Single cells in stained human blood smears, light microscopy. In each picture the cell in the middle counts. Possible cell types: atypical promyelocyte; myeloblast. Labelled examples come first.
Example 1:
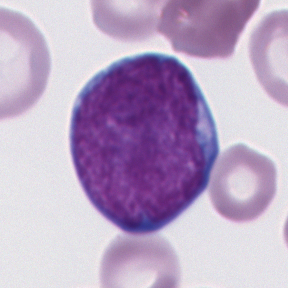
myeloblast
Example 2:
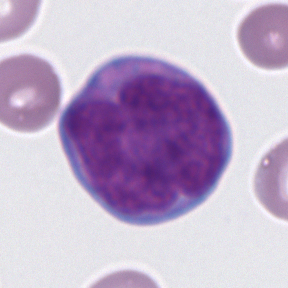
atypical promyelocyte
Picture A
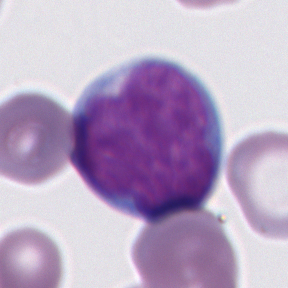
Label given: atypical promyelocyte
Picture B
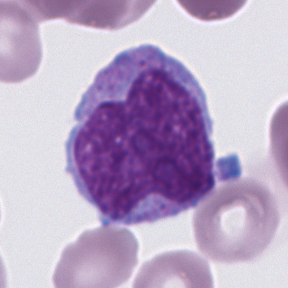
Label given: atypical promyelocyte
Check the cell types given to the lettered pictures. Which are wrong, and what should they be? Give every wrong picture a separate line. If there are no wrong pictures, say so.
A is labelled atypical promyelocyte; correct label: myeloblast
